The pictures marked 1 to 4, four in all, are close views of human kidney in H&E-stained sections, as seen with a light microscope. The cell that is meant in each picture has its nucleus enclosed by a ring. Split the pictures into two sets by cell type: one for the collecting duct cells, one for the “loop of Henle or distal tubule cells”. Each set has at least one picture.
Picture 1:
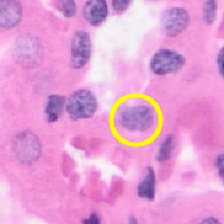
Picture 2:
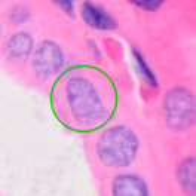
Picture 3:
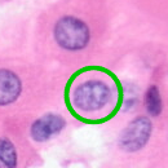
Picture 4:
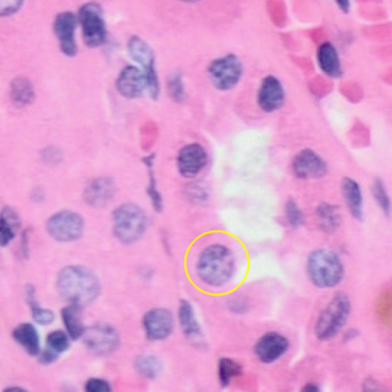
1: loop of Henle or distal tubule cell
2: collecting duct cell
3: collecting duct cell
4: loop of Henle or distal tubule cell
